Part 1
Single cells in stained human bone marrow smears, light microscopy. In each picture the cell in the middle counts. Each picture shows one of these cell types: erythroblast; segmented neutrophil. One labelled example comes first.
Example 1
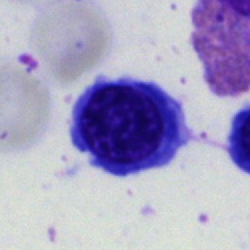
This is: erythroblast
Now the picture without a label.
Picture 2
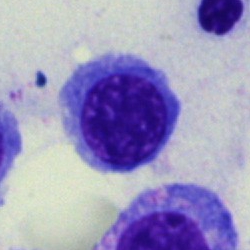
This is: erythroblast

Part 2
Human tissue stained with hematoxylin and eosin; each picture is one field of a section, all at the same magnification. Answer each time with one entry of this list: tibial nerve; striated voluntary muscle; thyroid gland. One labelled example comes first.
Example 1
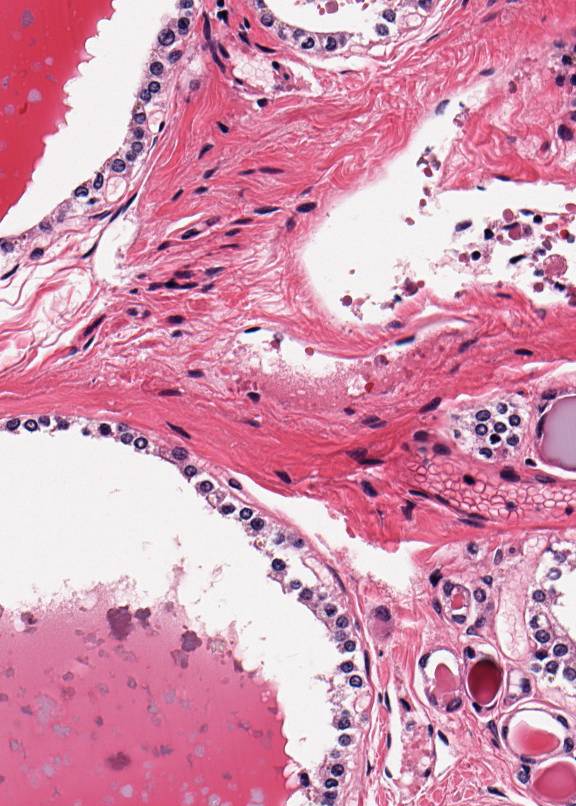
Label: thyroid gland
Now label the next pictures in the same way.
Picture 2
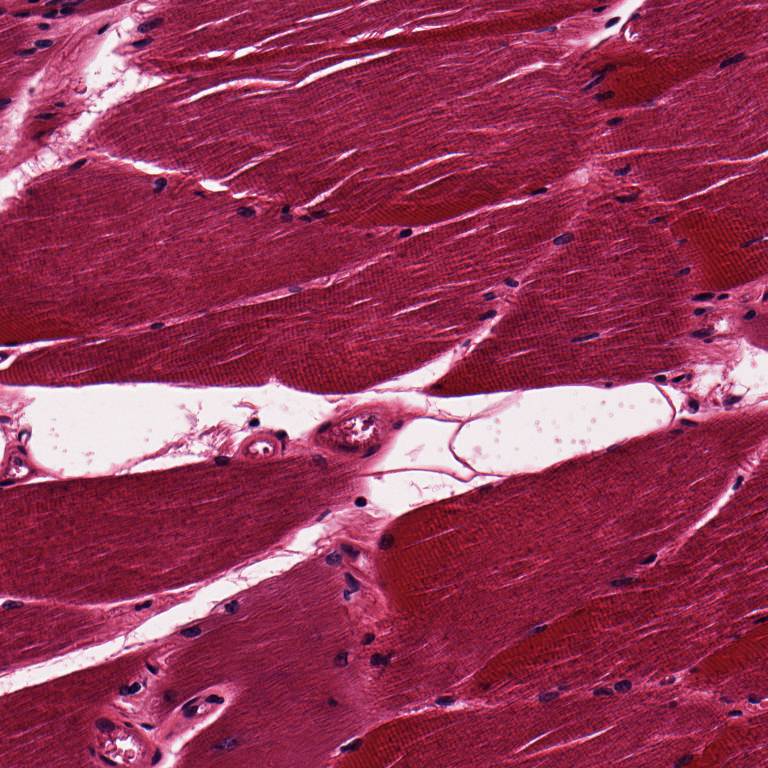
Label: striated voluntary muscle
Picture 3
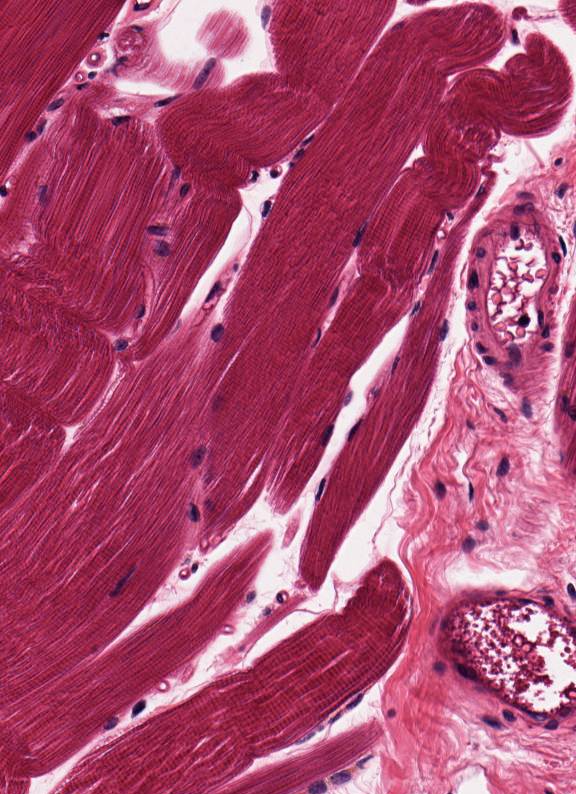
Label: striated voluntary muscle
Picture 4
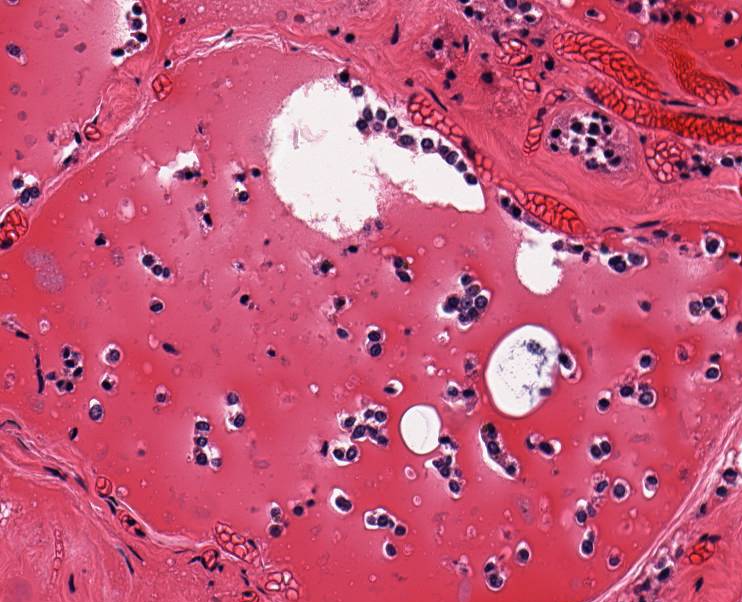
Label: thyroid gland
